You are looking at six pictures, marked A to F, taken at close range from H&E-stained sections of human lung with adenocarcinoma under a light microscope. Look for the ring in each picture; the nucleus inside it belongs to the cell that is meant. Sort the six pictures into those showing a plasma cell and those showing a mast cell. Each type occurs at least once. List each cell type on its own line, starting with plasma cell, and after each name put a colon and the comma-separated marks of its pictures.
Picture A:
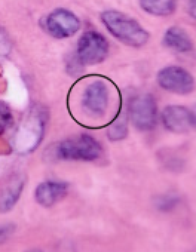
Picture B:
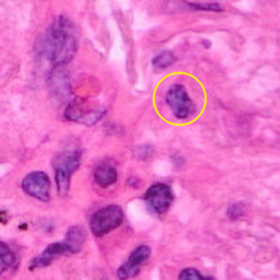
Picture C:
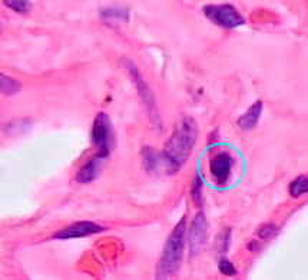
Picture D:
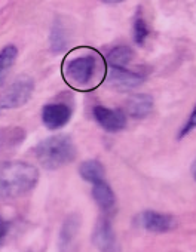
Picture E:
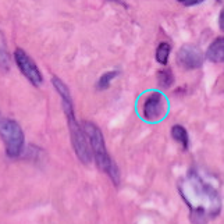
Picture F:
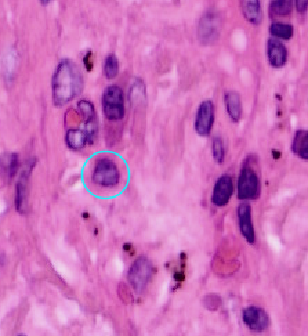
plasma cell: C, D
mast cell: A, B, E, F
